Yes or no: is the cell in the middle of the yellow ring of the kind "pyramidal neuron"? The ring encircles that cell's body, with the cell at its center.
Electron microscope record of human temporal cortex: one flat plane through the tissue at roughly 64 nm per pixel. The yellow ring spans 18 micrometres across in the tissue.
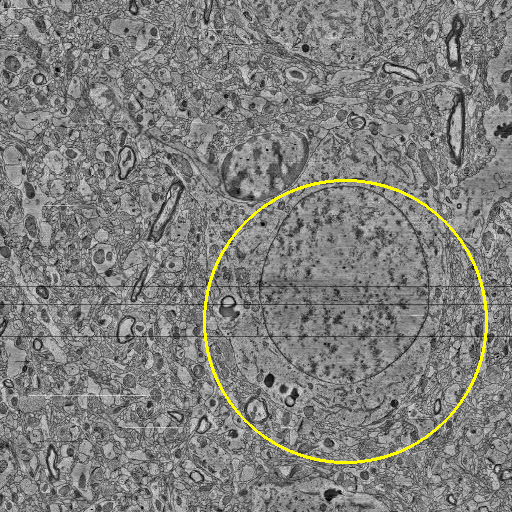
yes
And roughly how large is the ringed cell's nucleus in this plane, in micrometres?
About 14 by 11 micrometres in this plane.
